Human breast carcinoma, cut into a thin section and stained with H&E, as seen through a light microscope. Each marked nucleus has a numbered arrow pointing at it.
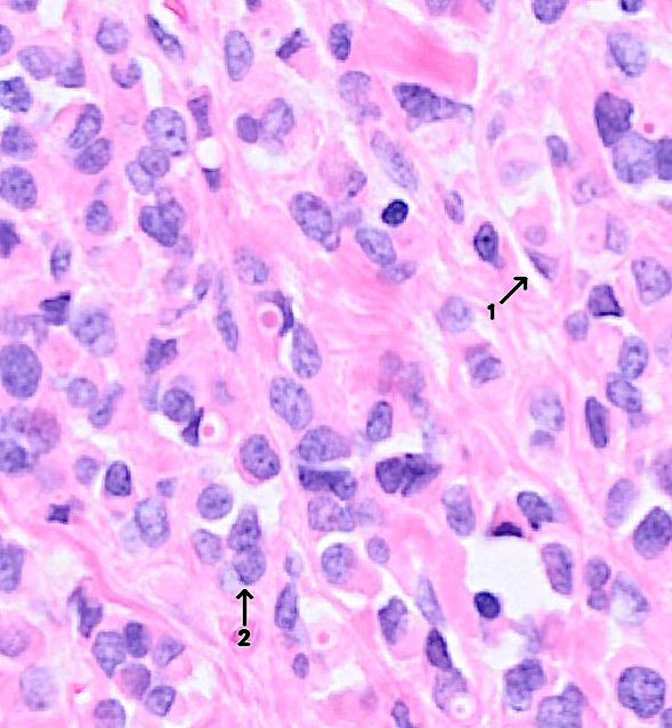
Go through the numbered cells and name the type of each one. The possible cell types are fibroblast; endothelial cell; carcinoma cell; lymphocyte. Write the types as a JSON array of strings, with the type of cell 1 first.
["fibroblast", "carcinoma cell"]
